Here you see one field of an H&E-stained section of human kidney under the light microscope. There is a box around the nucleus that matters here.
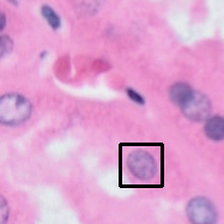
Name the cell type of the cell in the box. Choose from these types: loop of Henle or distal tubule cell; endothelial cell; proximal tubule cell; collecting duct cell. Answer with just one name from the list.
proximal tubule cell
